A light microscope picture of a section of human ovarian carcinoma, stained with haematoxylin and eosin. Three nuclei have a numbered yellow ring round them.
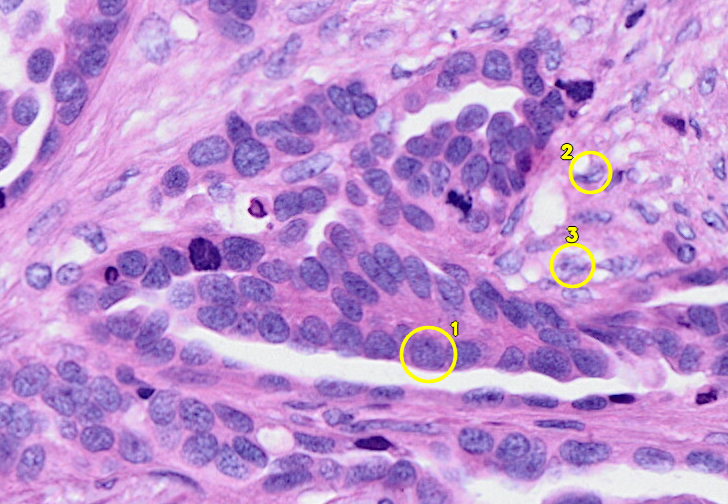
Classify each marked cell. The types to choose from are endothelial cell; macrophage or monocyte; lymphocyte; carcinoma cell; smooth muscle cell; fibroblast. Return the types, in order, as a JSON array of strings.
["carcinoma cell", "fibroblast", "fibroblast"]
